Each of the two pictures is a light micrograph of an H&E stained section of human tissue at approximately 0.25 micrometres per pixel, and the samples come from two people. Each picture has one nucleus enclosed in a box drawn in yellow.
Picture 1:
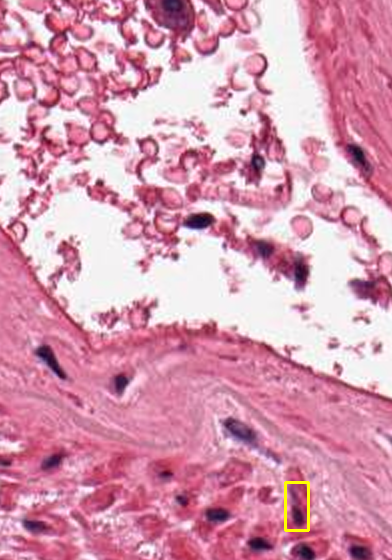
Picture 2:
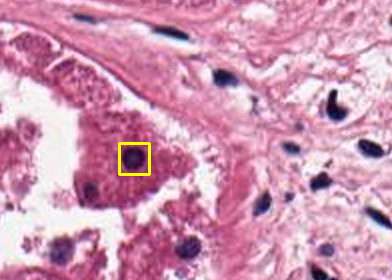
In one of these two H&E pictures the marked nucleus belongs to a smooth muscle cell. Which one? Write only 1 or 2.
1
